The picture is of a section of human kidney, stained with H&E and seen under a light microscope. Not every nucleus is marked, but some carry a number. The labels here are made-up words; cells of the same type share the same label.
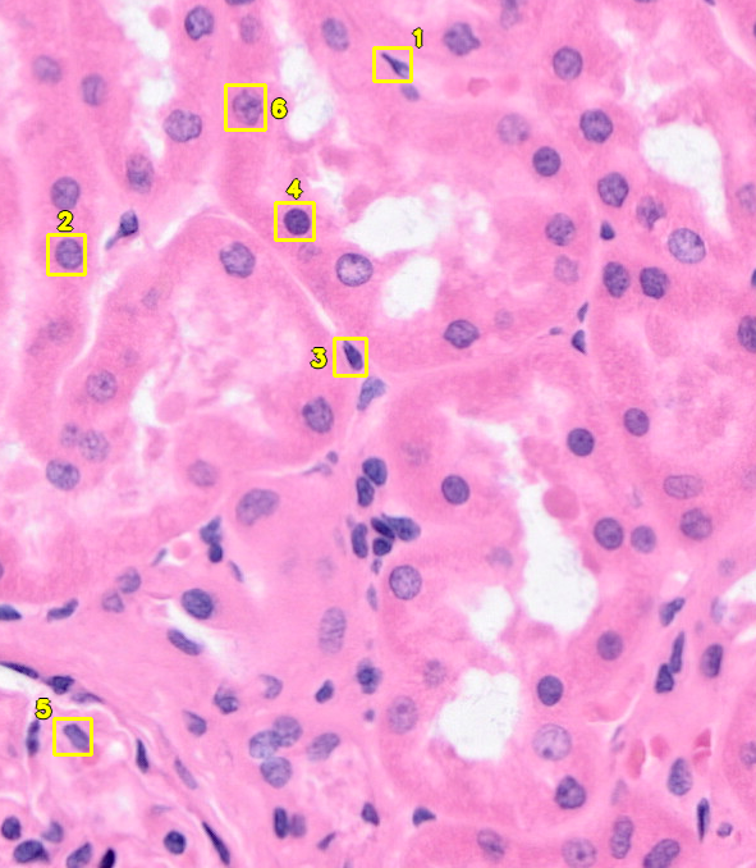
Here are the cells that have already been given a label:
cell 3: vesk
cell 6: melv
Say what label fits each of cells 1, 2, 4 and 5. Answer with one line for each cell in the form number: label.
1: vesk
2: melv
4: melv
5: vesk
